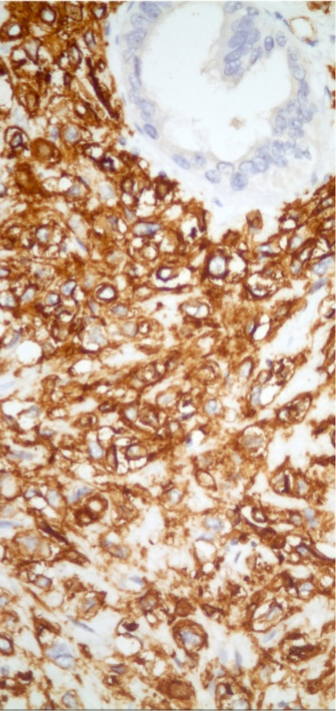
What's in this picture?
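A dense sheet of neoplastic cells fills the field, each outlined and filled by strong brown staining of the membrane and cytoplasm, with rounded to oval nuclei, some with clear perinuclear spaces. The cells vary from polygonal to slightly spindled and lie crowded together without an obvious pattern. At the top a small gland lined by unstained columnar epithelium with blue nuclei is surrounded by the stained tumour cells. The strongly stained population is the neoplastic cells, set apart from the unstained glandular epithelium.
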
